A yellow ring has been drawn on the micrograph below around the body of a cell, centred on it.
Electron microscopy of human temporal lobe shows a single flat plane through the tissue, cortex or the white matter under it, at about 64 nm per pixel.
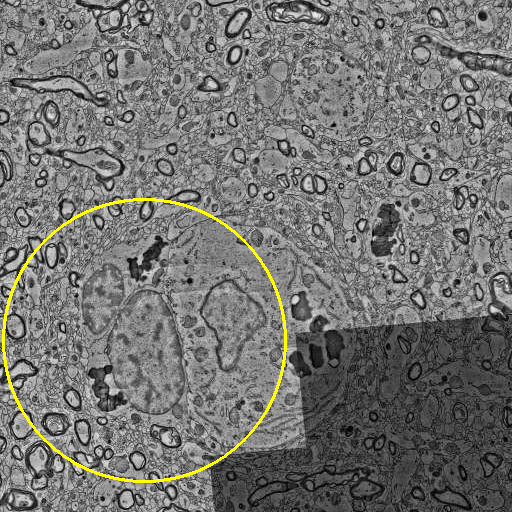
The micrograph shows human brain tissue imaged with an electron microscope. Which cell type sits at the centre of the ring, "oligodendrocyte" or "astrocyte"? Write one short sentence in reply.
The cell sitting at the centre of the ring is an oligodendrocyte.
